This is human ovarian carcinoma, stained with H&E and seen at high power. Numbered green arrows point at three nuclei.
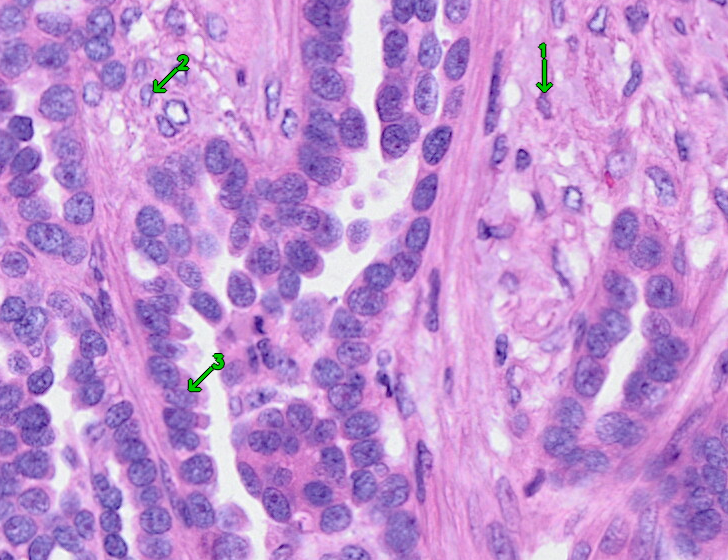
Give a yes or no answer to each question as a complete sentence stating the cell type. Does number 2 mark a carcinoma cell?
No, cell 2 is not a carcinoma cell; a fibroblast is the correct identification.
